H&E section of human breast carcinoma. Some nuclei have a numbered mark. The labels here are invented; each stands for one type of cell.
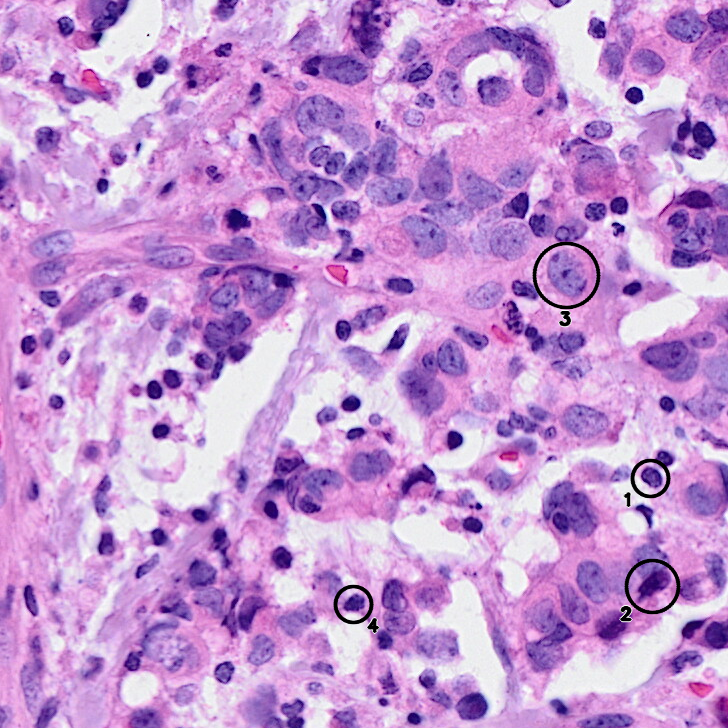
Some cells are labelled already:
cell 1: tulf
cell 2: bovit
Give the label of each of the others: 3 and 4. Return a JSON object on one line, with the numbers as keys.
{"3": "bovit", "4": "tulf"}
